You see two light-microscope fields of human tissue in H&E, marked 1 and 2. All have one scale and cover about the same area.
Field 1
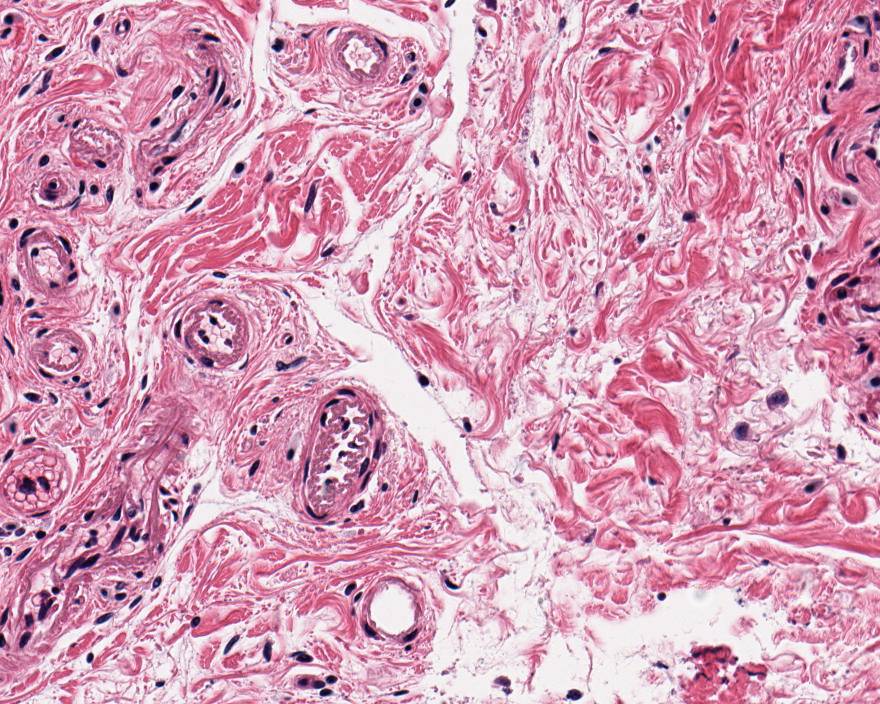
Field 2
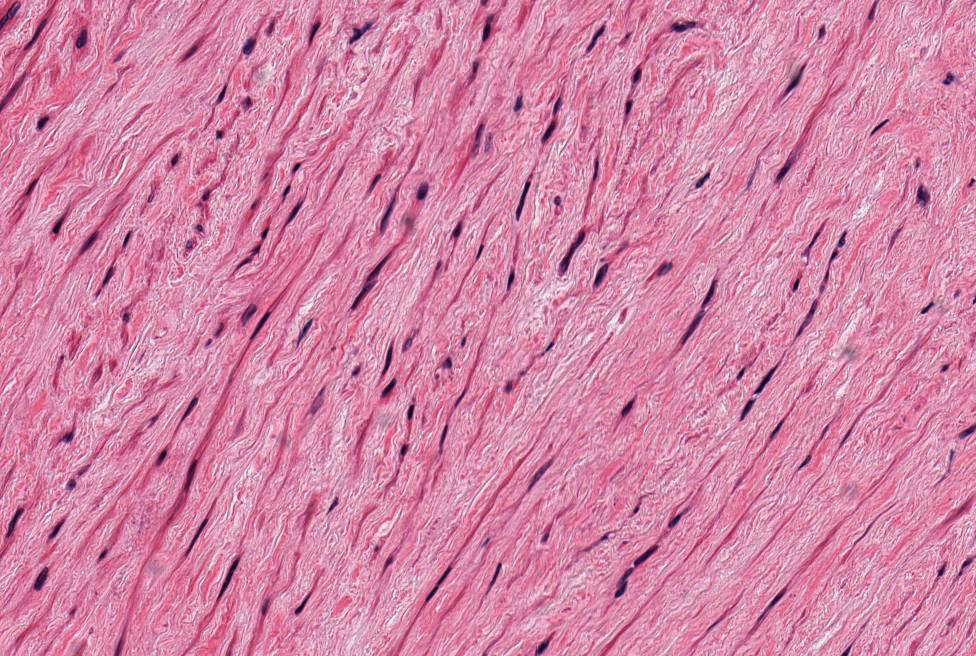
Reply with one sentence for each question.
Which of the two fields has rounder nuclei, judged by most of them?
On the whole the nuclei of field 1 are rounder than those of field 2.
